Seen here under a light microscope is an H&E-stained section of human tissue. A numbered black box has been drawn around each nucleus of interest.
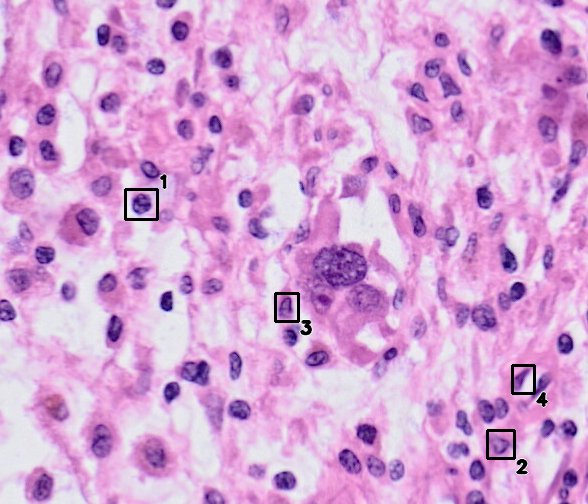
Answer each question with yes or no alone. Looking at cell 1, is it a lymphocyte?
yes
